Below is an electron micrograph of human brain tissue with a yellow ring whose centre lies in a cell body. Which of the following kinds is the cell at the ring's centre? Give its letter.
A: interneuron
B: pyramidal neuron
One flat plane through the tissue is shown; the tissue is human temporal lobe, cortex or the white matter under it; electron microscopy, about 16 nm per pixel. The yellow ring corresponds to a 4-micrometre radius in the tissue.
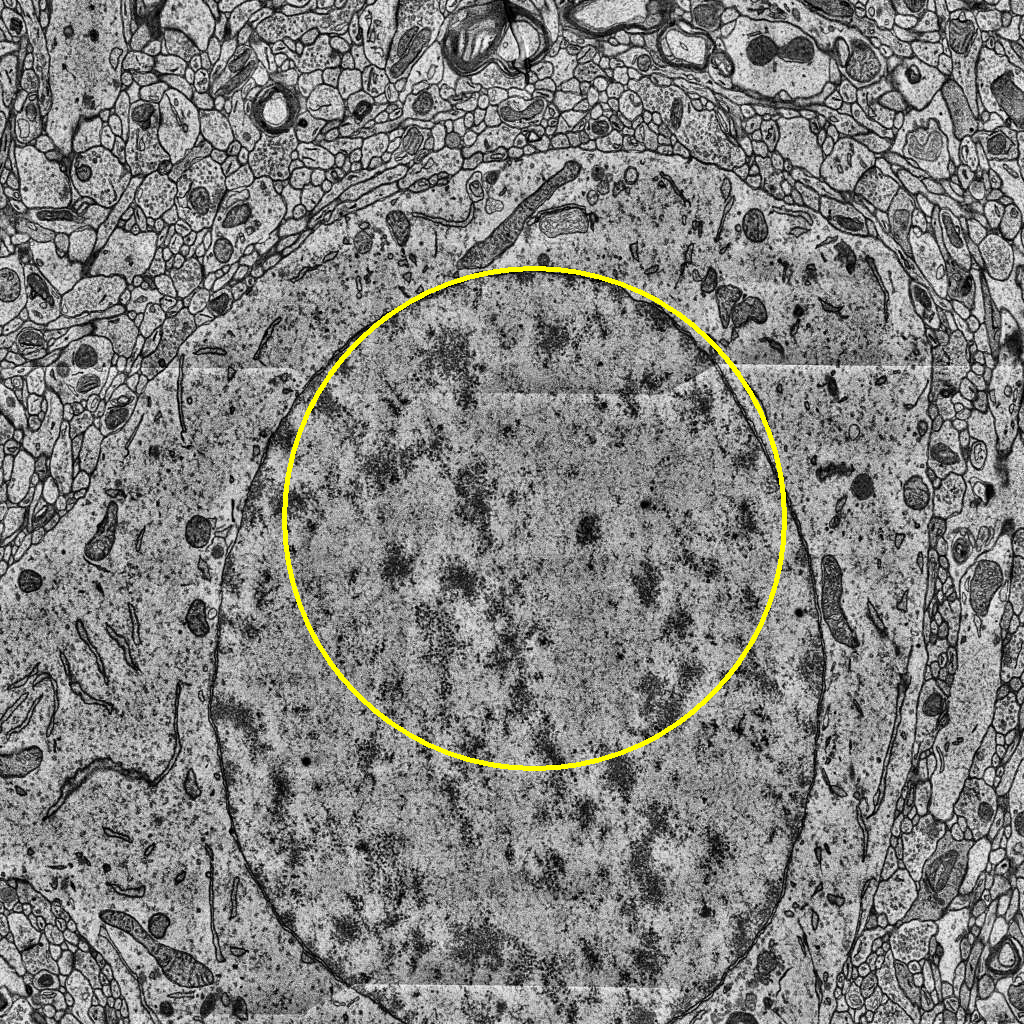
B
